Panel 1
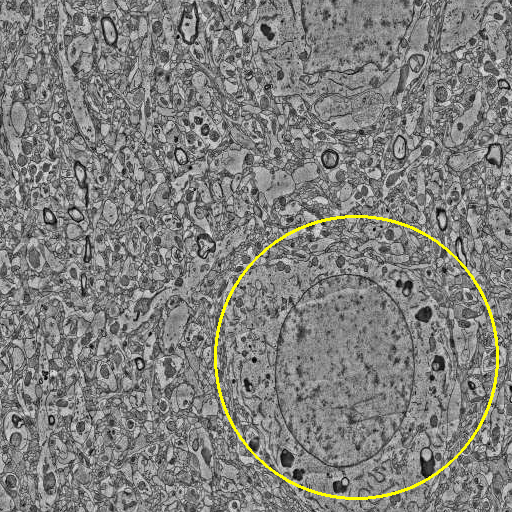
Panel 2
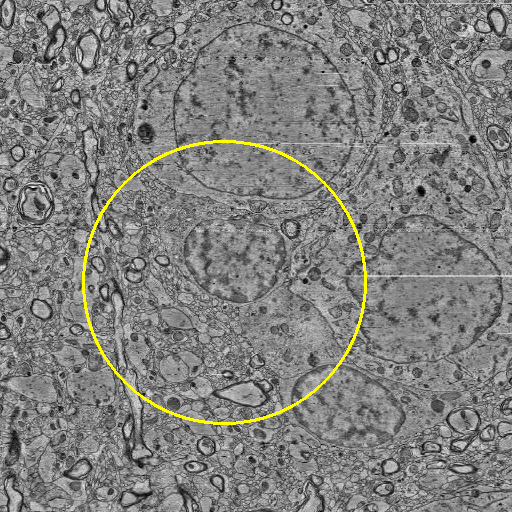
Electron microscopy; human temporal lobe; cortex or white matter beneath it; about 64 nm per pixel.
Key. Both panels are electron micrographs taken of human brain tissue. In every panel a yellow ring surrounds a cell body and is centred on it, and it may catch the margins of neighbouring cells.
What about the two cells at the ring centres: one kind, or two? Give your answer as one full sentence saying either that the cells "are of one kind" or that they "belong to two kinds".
Across Panels 1 and 2, the two cells at the ring centres belong to two kinds.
